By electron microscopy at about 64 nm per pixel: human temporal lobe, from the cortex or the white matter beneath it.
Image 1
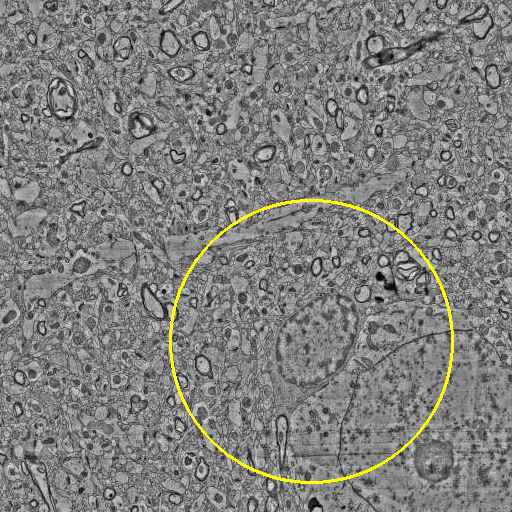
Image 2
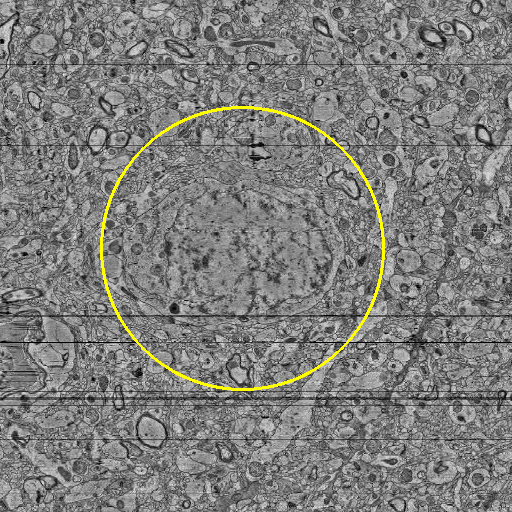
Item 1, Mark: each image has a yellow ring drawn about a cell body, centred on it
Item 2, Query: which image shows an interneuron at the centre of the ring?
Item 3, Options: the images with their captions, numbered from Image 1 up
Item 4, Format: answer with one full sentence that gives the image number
My answer is image 2, where the cell at the ring's centre fits.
